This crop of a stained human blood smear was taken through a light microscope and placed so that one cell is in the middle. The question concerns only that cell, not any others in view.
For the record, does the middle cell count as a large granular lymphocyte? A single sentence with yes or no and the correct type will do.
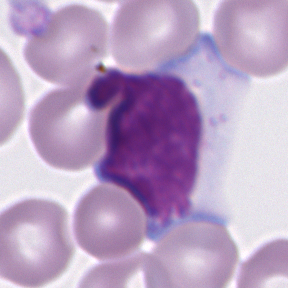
Yes, the central element of the crop is a large granular lymphocyte.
